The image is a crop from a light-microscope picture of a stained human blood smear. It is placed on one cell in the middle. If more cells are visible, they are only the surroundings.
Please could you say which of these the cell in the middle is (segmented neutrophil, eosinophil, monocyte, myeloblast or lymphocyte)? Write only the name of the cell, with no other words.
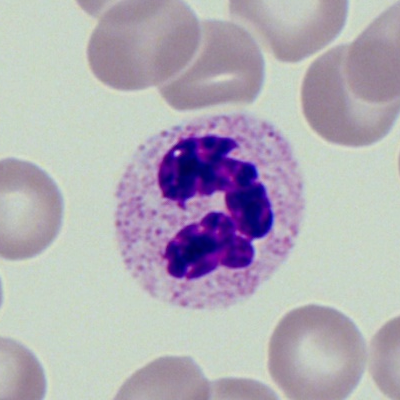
segmented neutrophil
